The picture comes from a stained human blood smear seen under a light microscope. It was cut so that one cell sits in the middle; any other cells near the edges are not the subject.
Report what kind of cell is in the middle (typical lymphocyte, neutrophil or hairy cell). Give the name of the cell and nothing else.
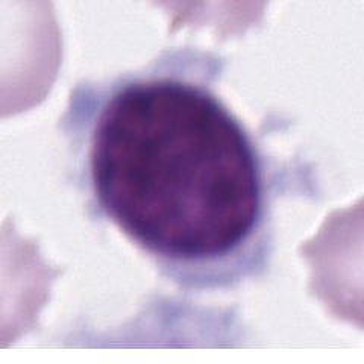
hairy cell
